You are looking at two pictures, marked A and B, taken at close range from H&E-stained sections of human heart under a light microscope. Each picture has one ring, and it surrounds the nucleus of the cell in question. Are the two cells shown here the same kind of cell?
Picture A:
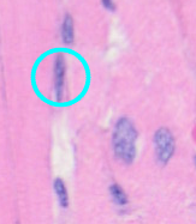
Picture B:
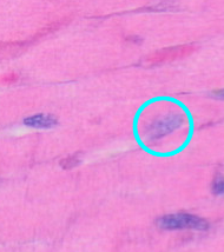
no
